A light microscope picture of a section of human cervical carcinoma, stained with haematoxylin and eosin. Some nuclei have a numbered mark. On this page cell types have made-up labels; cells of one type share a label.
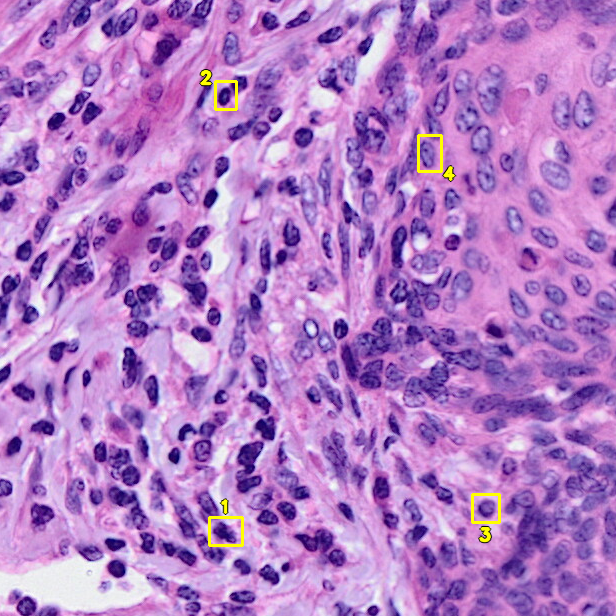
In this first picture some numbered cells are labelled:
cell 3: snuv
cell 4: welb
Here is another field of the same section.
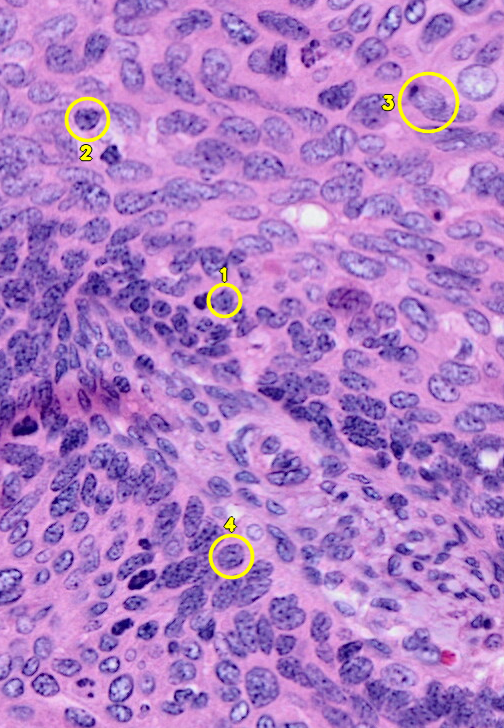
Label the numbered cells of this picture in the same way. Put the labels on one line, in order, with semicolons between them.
welb; snuv; welb; welb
